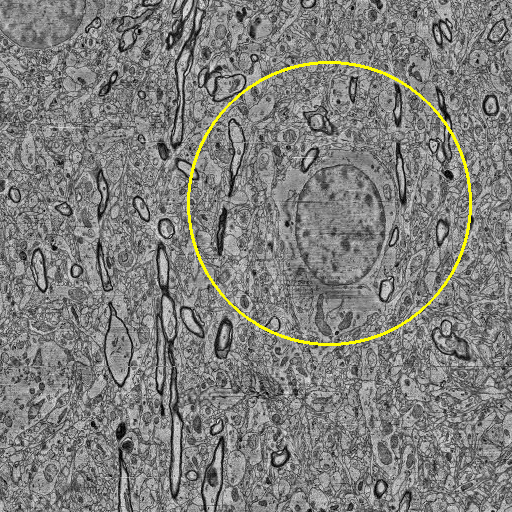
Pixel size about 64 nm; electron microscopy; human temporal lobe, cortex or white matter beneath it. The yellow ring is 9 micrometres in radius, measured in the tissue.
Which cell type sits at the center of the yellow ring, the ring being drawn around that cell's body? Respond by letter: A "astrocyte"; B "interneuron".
A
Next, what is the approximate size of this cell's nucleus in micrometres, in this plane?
Approximately 8 micrometres long and 6 micrometres wide, in this plane.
